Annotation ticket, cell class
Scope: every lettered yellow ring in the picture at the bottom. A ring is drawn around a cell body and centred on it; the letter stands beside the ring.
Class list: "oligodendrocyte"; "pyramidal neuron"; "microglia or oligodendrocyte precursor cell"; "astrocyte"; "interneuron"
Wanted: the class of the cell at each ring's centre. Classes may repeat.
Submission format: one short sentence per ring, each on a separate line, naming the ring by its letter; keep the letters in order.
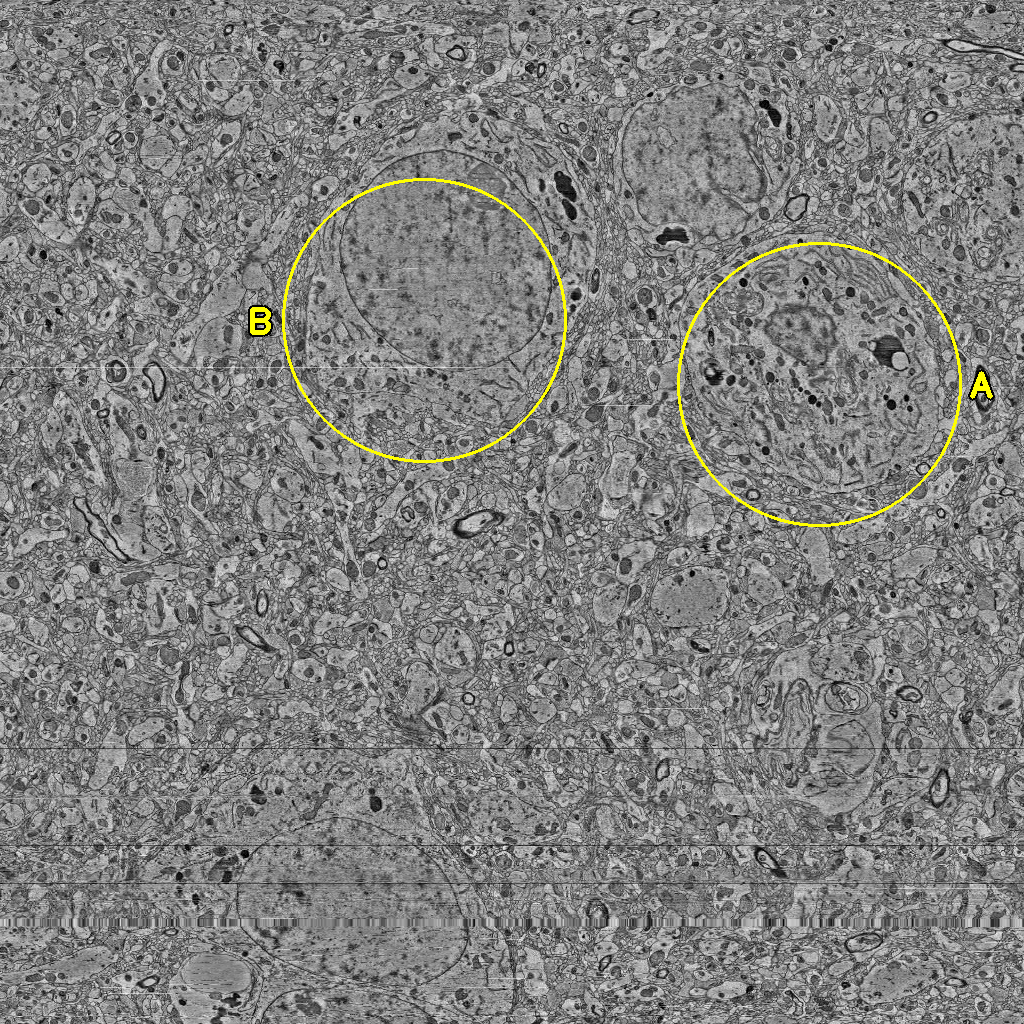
The centre of ring A is occupied by an interneuron.
The centre of ring B is occupied by a pyramidal neuron.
